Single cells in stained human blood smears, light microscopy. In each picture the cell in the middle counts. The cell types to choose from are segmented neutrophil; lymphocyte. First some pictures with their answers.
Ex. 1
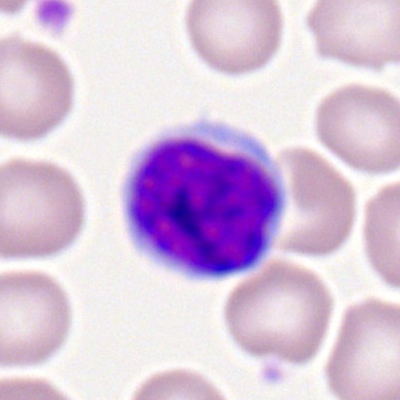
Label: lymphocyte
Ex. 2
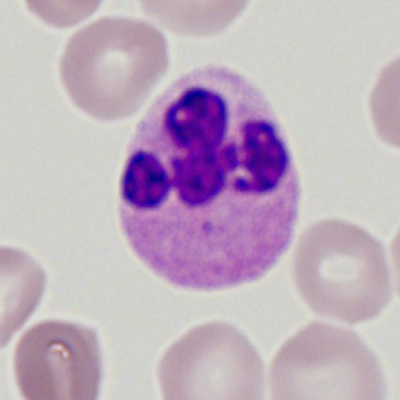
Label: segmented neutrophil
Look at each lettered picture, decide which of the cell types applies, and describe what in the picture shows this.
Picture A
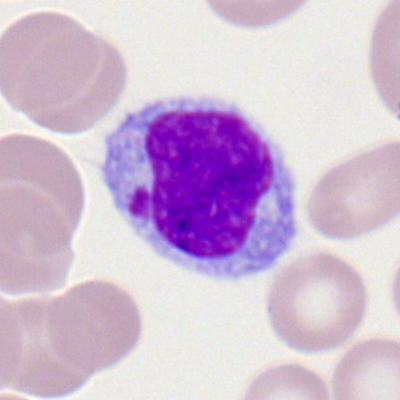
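lymphocyte. Reason: The nucleus fills most of the cell.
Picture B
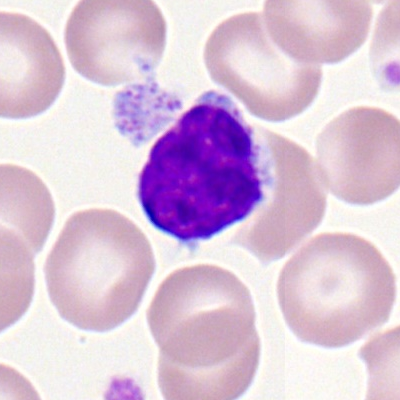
lymphocyte. Reason: The cytoplasm is only a thin rim around the nucleus.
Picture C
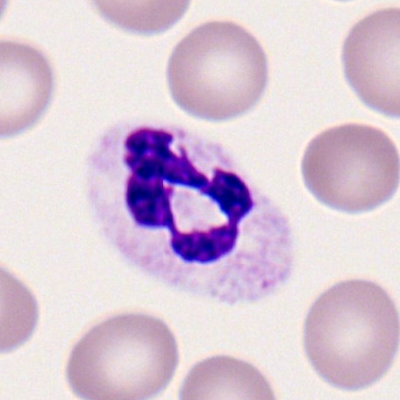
segmented neutrophil. Reason: The cytoplasm is abundant and pale pinkish-lilac.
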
